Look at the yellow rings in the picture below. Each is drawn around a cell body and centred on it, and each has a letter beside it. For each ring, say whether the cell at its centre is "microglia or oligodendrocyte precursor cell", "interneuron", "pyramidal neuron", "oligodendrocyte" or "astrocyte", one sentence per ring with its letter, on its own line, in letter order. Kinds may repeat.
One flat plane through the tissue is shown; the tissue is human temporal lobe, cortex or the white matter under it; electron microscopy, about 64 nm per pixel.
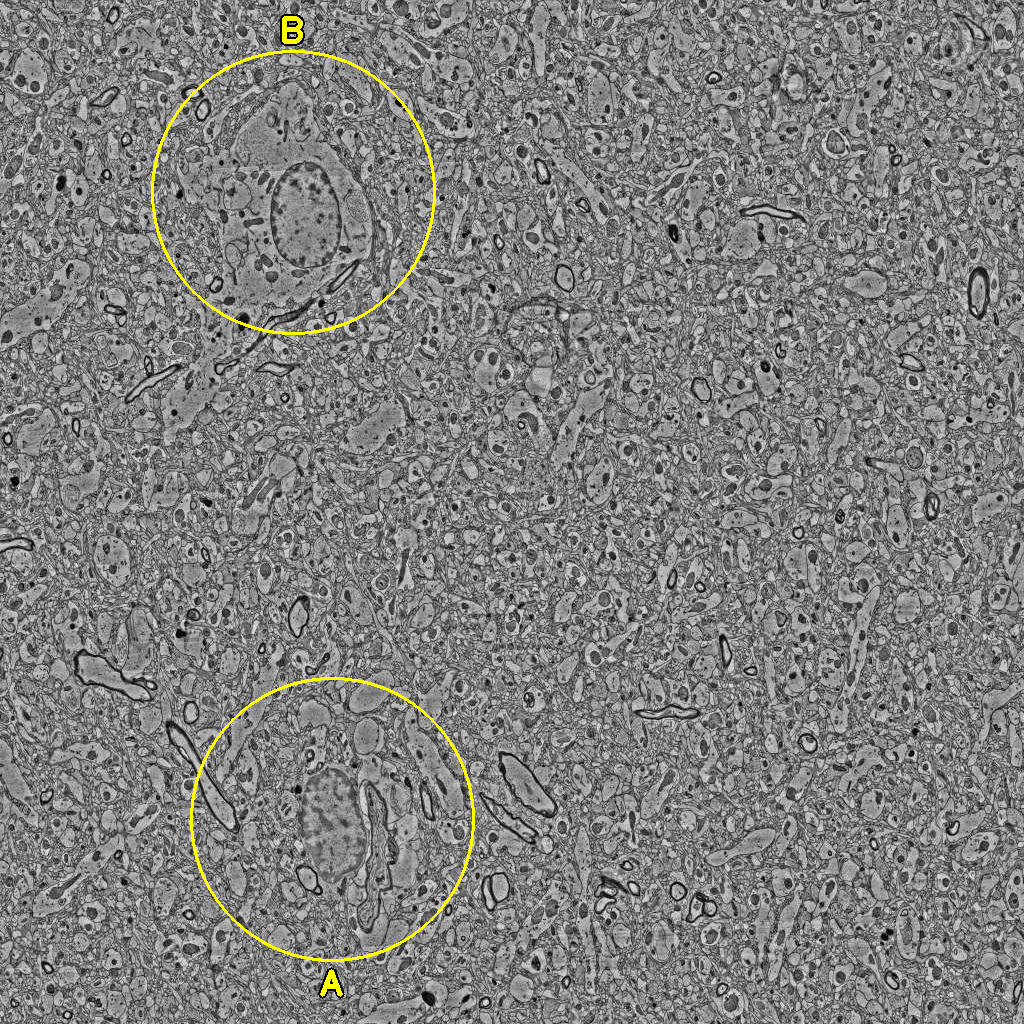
The centred cell of ring A is an oligodendrocyte.
The centred cell of ring B is an astrocyte.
